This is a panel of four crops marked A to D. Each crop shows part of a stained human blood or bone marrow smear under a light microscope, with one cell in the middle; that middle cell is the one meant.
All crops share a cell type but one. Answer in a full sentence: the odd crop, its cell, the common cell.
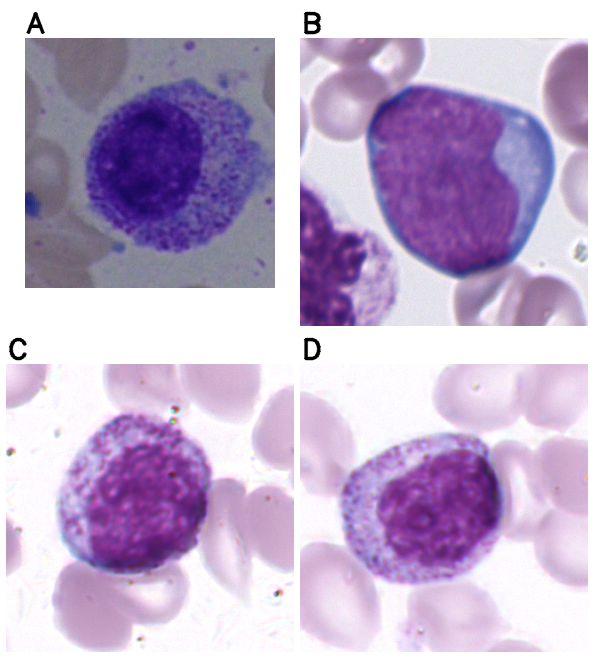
Although the other crops all show myelocytes, crop B shows a blast.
